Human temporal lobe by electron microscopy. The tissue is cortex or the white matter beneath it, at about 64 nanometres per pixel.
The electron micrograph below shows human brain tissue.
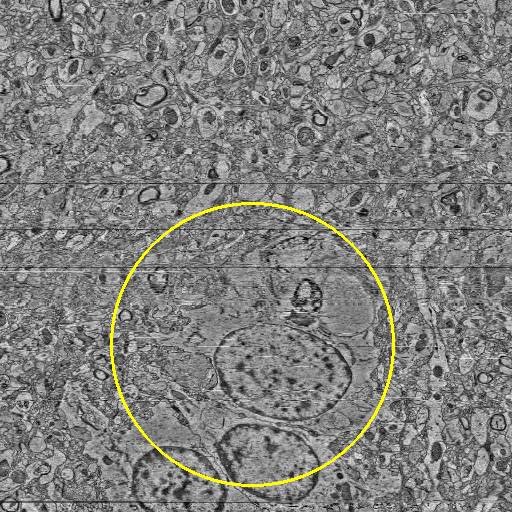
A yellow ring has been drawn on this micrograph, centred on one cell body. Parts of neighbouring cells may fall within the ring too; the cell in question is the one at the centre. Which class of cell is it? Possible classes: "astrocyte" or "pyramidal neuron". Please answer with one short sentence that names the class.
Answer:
In the centre of the ring sits an astrocyte.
